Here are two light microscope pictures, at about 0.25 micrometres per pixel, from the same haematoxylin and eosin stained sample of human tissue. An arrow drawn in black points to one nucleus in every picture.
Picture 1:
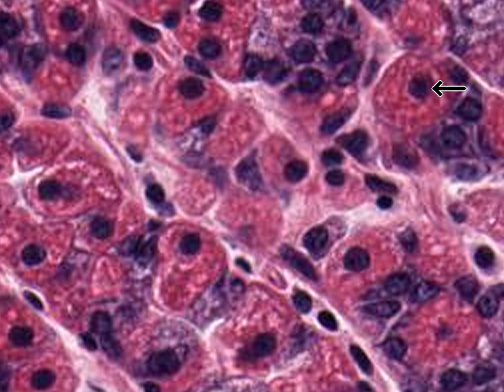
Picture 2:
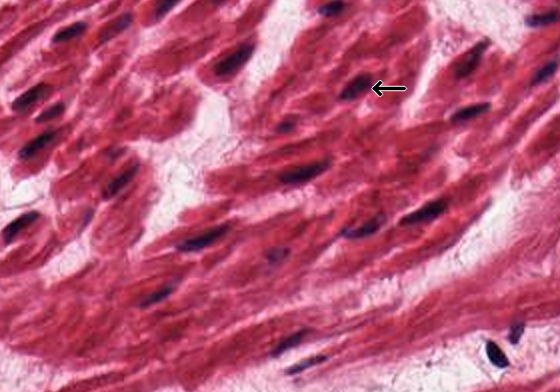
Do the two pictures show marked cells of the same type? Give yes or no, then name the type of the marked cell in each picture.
No, the first is a parietal cell and the second a smooth muscle cell.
